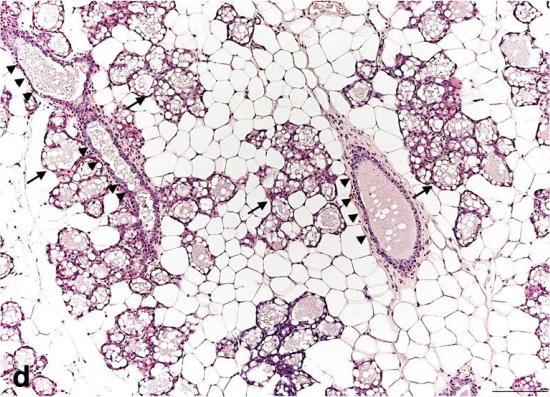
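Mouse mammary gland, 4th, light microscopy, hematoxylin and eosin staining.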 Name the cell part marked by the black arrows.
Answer: Large lipid vacuoles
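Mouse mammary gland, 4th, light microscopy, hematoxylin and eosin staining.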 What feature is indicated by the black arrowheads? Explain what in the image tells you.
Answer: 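The arrowheads line elongated tubes with a wall of cells and a pink-filled lumen. These tubes run between clusters of alveoli. The answer: ducts.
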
